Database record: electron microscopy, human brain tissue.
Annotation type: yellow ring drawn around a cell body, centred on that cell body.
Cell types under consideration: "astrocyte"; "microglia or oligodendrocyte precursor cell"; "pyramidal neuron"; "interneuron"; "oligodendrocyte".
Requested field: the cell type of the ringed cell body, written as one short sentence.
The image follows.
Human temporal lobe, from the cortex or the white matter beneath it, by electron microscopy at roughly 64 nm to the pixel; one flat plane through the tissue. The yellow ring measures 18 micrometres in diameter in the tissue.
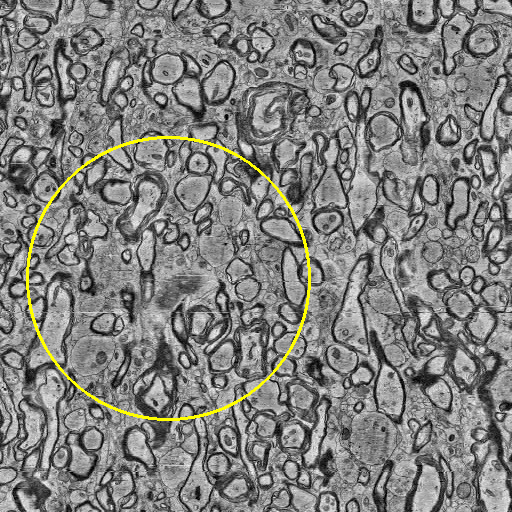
The ringed cell body represents an oligodendrocyte.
